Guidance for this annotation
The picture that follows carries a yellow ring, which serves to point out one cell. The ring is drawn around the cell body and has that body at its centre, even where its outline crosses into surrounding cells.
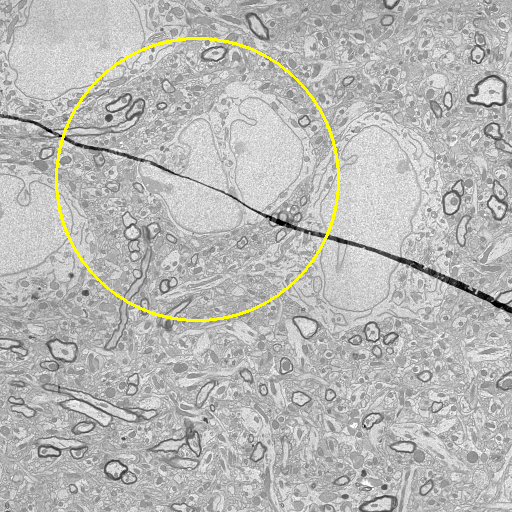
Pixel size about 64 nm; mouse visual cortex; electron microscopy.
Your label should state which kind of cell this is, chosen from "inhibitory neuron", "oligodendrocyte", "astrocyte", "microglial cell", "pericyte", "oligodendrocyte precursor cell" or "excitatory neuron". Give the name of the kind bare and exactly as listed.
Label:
oligodendrocyte precursor cell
